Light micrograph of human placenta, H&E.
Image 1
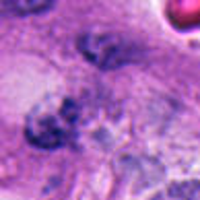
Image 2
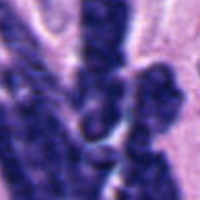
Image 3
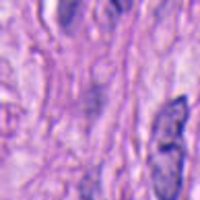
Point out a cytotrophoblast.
That is picture 1.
